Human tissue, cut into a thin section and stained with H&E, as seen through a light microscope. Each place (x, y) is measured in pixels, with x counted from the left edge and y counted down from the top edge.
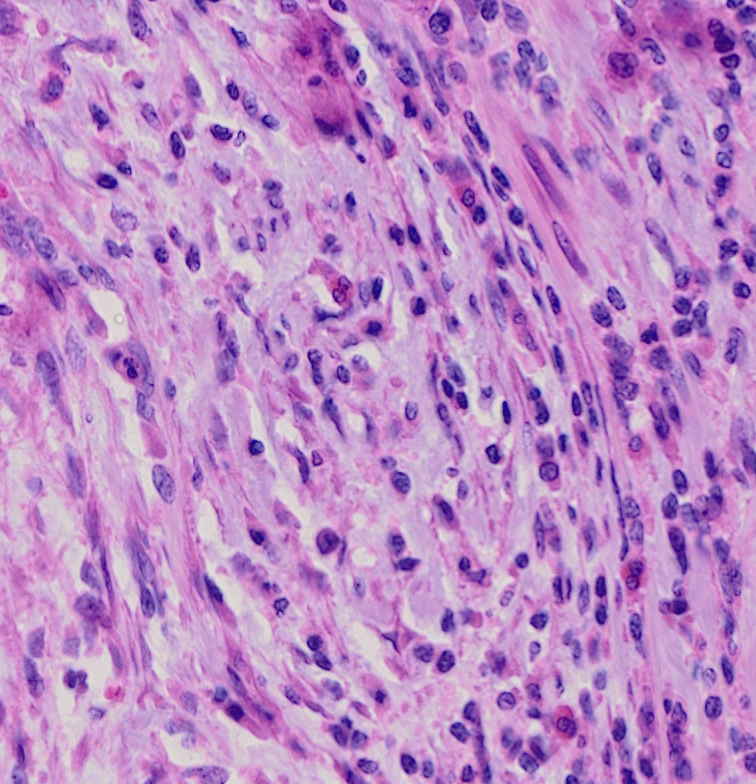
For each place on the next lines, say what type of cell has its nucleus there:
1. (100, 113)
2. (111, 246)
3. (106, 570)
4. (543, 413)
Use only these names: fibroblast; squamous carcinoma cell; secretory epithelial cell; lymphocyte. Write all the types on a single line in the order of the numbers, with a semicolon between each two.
lymphocyte; lymphocyte; fibroblast; lymphocyte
